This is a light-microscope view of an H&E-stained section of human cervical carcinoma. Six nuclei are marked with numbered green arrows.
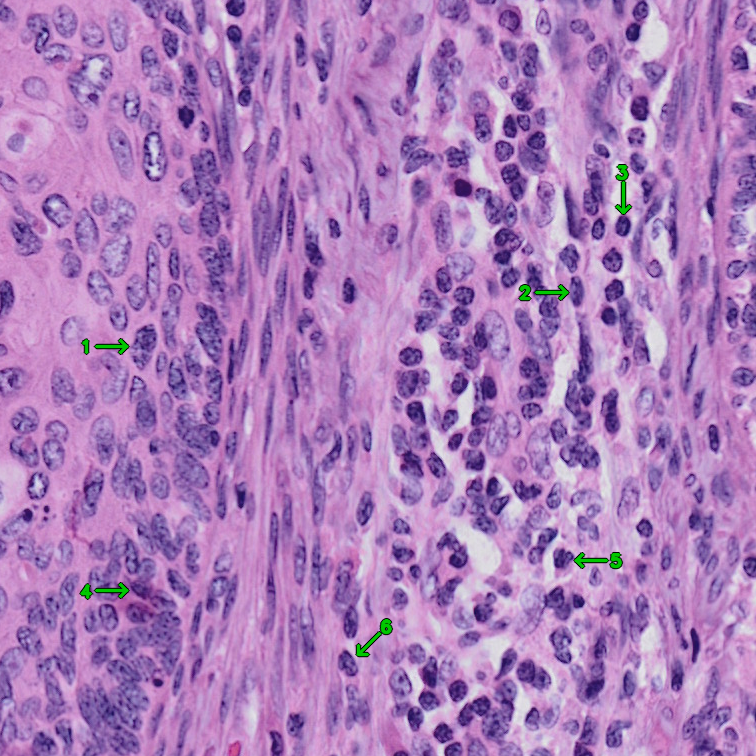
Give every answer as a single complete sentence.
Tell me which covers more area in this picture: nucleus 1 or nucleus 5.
Nucleus 1 covers more area, about 2 times as much as nucleus 5.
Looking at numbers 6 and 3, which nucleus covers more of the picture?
Nucleus 6 is larger, with an area about 1.5 times that of nucleus 3.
